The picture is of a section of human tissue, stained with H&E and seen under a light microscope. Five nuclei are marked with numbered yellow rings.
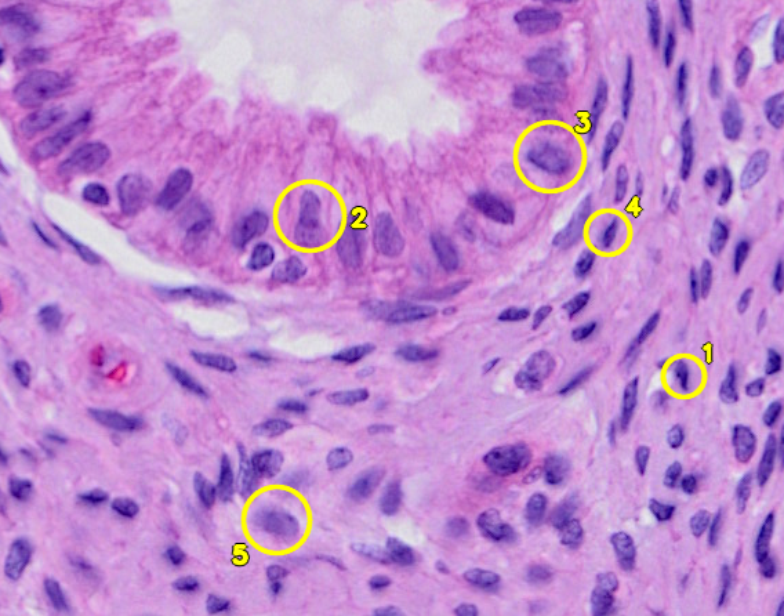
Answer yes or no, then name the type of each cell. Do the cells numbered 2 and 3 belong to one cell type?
Yes, the cell labelled 2 and the cell labelled 3 are both secretory epithelial cells.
